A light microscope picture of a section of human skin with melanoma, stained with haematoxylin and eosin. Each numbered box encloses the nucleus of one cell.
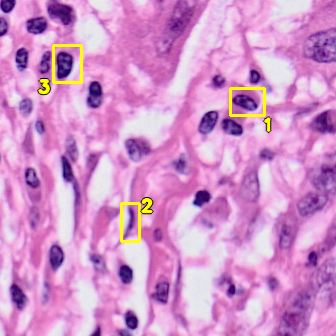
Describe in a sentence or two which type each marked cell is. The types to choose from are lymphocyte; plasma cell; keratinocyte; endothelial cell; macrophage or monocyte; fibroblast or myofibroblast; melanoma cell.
Cells 1 and 3 are plasma cells. Cell 2 is a fibroblast or myofibroblast.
